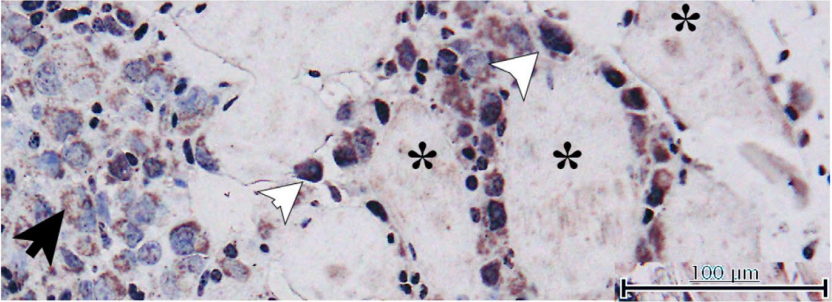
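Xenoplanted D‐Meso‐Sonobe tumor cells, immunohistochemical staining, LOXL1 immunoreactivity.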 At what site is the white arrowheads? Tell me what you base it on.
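The arrowheads point to darkly stained cells lying in strands between large pale fibres. Tumor cells squeeze in between the pale fibres marked by asterisks. On this evidence: invasion front.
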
